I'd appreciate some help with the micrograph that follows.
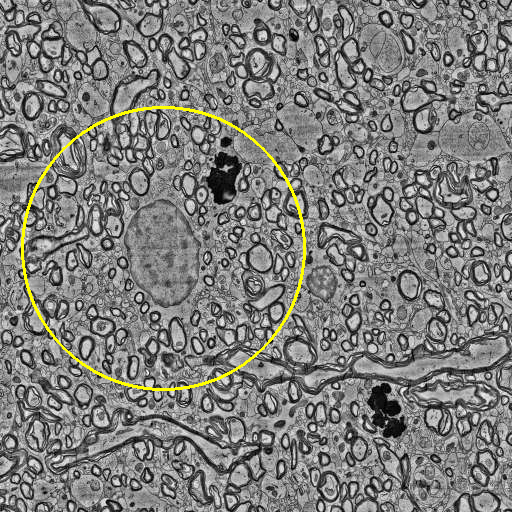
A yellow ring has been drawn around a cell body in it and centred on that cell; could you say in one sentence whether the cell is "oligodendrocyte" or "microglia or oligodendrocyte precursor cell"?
It is an oligodendrocyte at the centre of the ring.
